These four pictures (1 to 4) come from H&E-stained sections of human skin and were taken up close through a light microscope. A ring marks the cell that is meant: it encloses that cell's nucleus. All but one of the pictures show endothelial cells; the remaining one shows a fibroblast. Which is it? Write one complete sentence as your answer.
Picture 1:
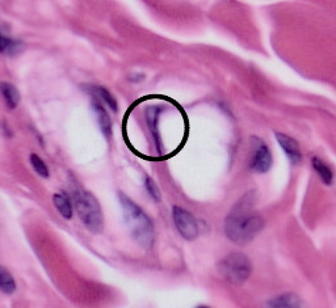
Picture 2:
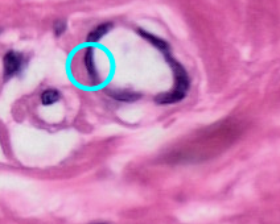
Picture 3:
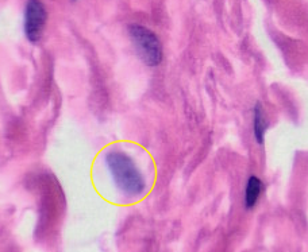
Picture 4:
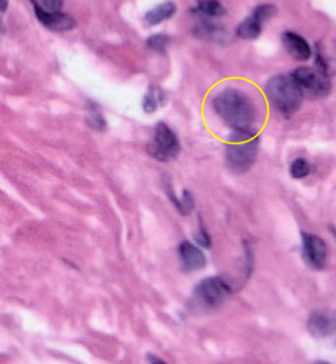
The picture with the fibroblast is 3.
